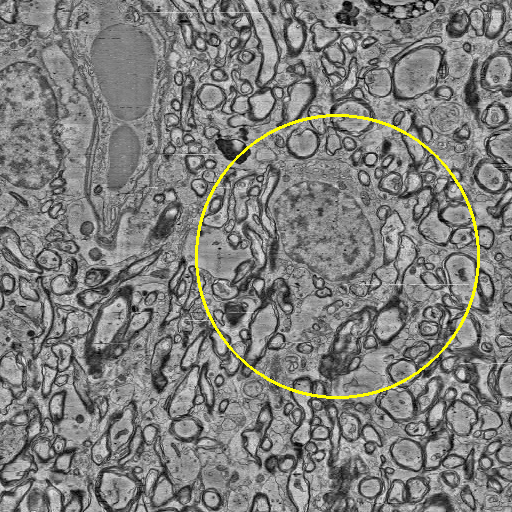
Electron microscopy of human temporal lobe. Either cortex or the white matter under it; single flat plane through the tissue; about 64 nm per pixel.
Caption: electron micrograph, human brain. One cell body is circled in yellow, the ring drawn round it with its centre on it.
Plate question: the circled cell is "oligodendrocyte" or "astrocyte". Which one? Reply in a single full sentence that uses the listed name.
The yellow ring on the plate is centred on an oligodendrocyte, going by the listed names.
